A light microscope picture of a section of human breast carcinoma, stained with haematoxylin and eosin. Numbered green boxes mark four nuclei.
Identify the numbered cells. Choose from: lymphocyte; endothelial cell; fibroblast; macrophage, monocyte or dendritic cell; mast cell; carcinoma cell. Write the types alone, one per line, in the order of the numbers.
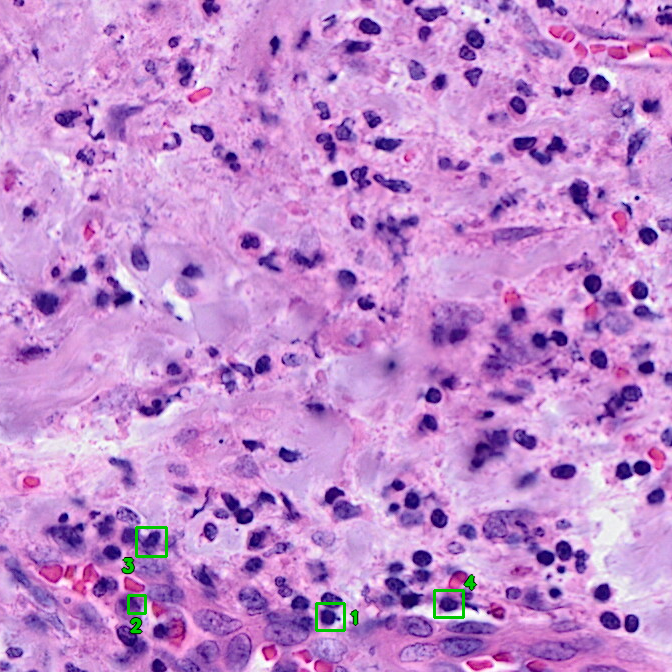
lymphocyte
endothelial cell
lymphocyte
lymphocyte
